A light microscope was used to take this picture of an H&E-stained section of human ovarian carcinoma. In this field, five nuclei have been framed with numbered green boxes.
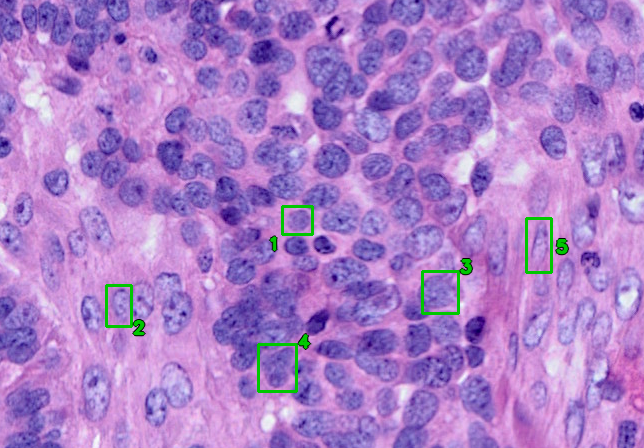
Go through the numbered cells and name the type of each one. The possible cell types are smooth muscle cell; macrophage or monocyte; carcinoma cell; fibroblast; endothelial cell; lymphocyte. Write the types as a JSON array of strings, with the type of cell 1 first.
["carcinoma cell", "fibroblast", "carcinoma cell", "carcinoma cell", "fibroblast"]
